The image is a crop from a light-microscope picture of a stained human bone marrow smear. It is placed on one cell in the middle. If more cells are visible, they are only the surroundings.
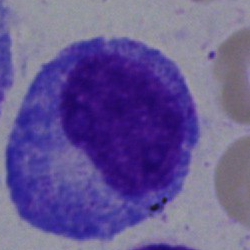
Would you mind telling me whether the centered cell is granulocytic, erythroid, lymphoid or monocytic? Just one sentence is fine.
Belonging to the granulocytic lineage is the cell positioned in the middle.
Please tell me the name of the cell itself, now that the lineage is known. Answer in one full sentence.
At the center of the crop sits a promyelocyte.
